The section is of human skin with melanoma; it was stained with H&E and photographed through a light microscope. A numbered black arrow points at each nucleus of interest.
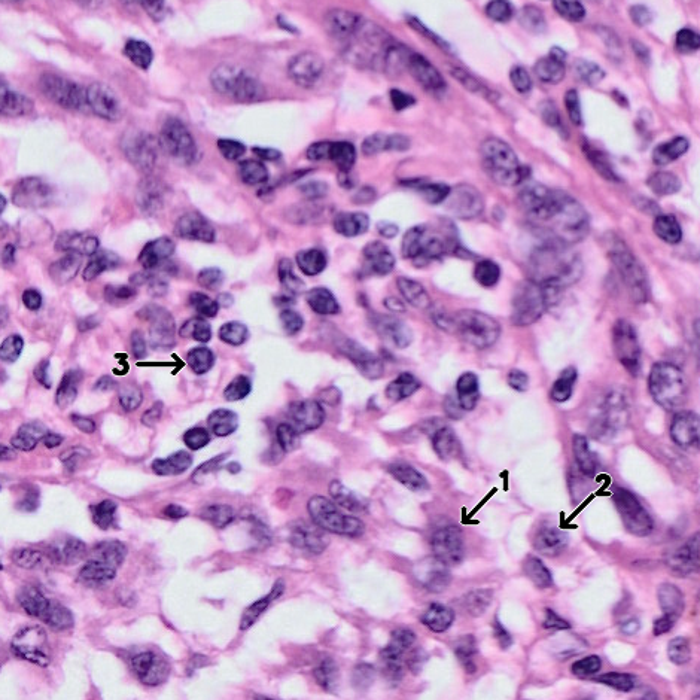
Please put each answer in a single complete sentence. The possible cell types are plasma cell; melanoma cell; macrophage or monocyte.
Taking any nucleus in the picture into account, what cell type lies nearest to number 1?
The nucleus nearest to number 1 is that of a melanoma cell.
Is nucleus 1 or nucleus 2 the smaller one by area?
It is nucleus 2; nucleus 1 has about 1.5 times its area.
